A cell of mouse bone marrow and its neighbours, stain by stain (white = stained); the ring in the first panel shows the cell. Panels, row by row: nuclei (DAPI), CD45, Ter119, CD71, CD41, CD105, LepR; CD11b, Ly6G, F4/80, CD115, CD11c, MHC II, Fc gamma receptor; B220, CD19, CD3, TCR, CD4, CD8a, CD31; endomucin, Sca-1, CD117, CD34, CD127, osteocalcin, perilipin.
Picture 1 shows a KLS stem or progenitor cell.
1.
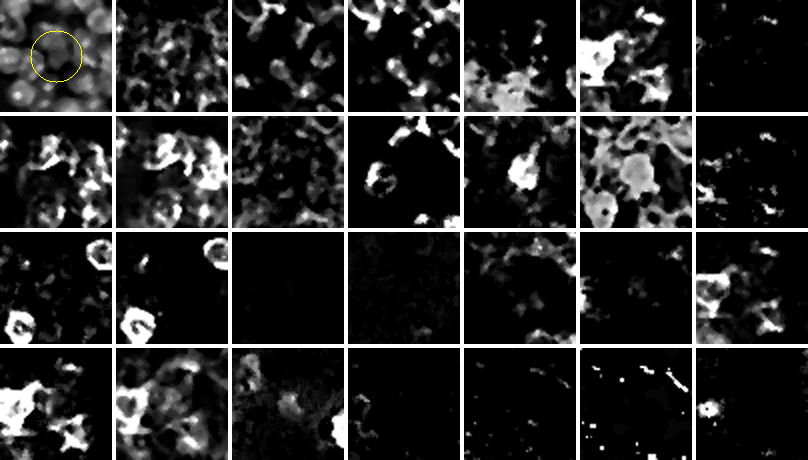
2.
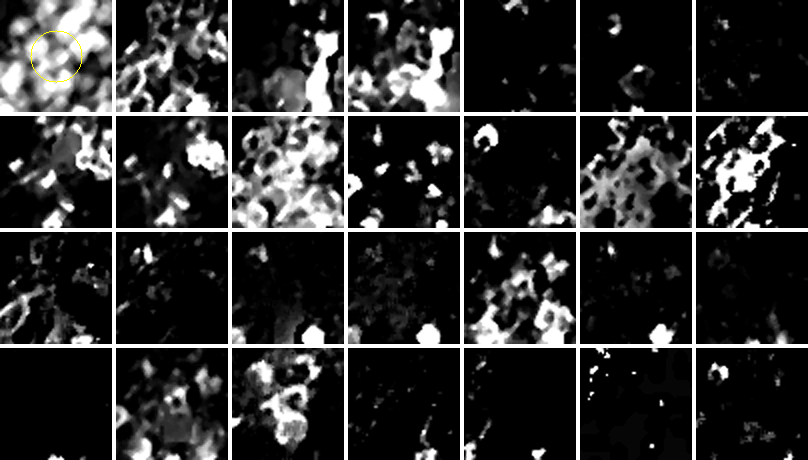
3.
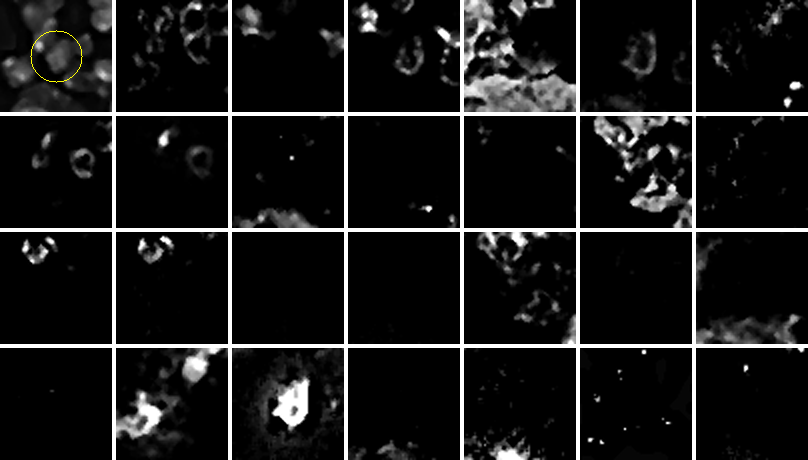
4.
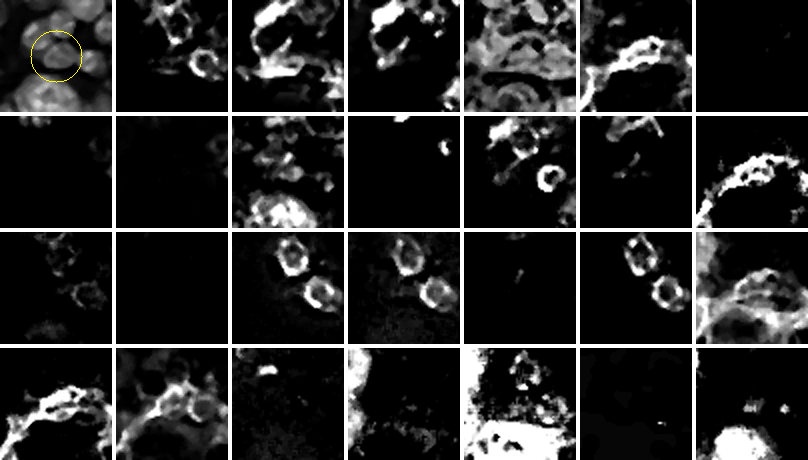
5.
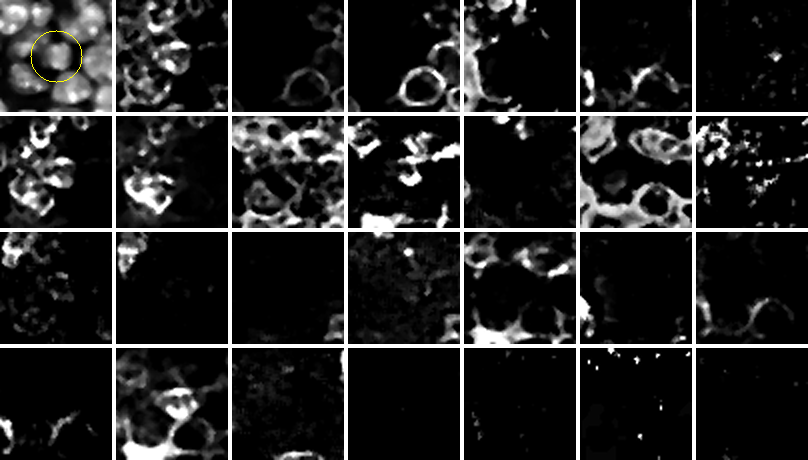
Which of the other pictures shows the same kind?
Picture 3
